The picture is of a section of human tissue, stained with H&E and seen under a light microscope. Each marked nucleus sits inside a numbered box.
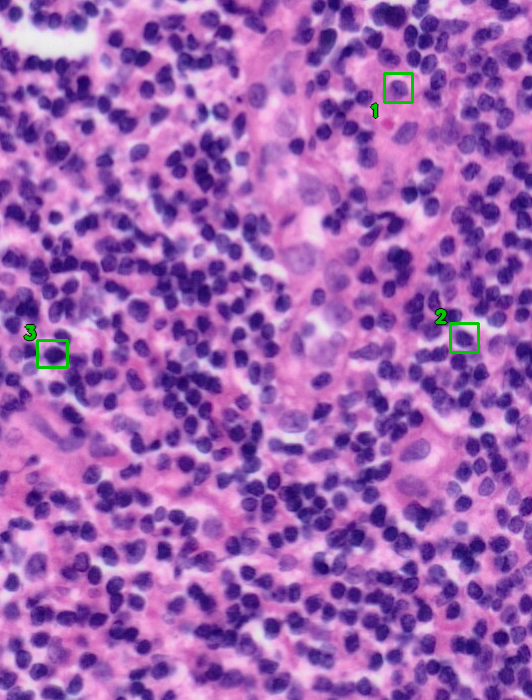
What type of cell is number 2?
small lymphocyte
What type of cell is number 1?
endothelial cell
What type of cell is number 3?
small lymphocyte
